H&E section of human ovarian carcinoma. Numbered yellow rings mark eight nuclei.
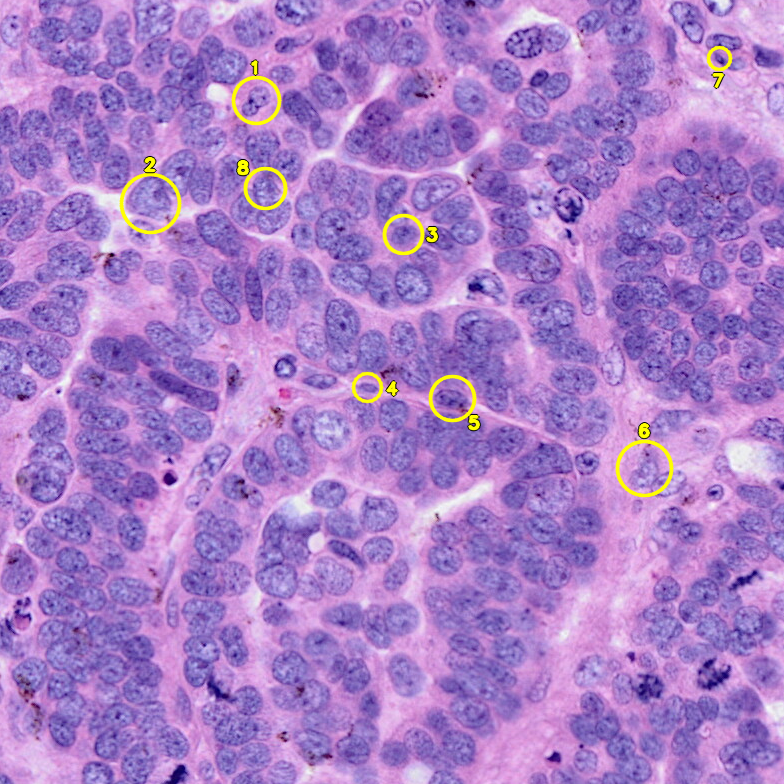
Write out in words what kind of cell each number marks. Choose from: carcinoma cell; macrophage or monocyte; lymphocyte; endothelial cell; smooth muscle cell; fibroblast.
Cell 1 is a macrophage or monocyte, cell 2 is a carcinoma cell, cell 3 is a carcinoma cell, cell 4 is a macrophage or monocyte, cell 5 is a macrophage or monocyte, cell 6 is a fibroblast, cell 7 is an endothelial cell and cell 8 is a carcinoma cell.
